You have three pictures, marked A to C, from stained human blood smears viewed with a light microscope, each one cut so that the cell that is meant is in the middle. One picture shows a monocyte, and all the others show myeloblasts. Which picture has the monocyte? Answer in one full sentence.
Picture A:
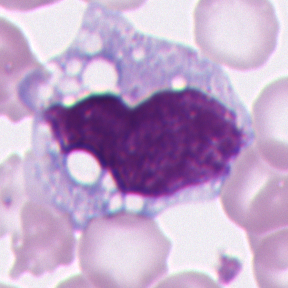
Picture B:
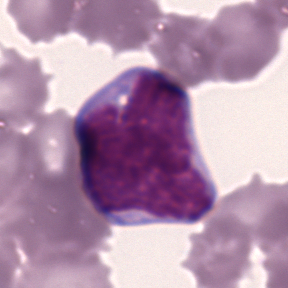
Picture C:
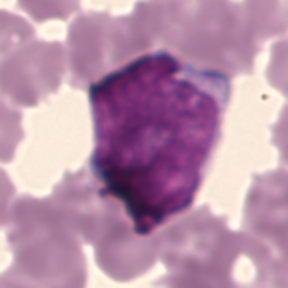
The picture with the monocyte is A.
